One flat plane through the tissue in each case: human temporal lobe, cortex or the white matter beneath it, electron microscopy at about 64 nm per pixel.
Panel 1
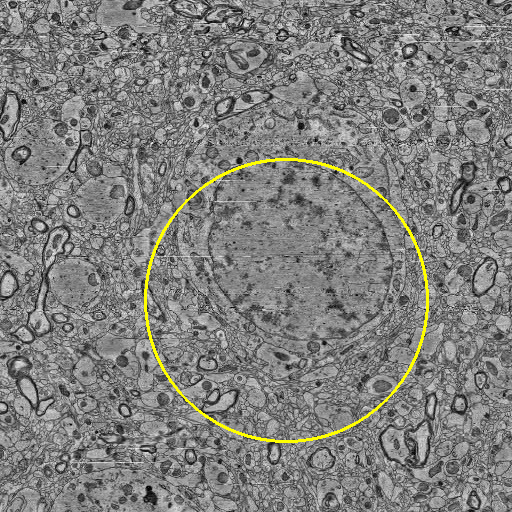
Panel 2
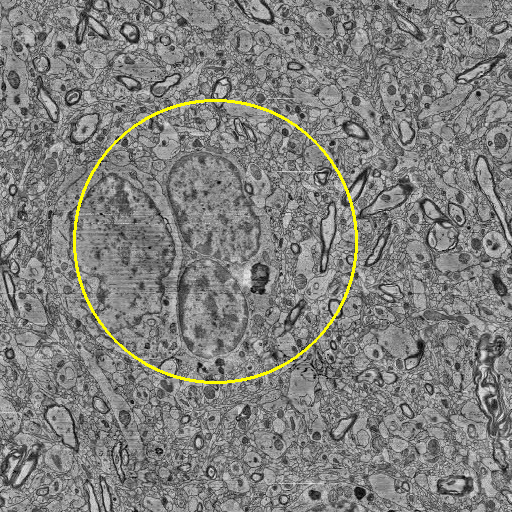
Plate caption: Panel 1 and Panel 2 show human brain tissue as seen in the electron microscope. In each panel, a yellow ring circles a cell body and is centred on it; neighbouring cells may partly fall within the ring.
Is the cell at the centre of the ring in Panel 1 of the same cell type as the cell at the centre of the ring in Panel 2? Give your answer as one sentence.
No, the two cells are of two types.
